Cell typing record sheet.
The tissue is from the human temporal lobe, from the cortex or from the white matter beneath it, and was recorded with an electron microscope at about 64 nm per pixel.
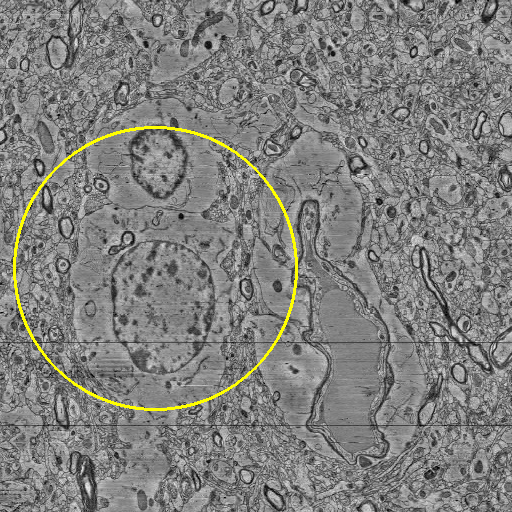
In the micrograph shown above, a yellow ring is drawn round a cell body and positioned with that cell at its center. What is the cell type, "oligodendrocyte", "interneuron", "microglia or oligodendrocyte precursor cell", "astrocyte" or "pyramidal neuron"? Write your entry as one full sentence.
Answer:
The cell body at the center of the ring belongs to an astrocyte.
